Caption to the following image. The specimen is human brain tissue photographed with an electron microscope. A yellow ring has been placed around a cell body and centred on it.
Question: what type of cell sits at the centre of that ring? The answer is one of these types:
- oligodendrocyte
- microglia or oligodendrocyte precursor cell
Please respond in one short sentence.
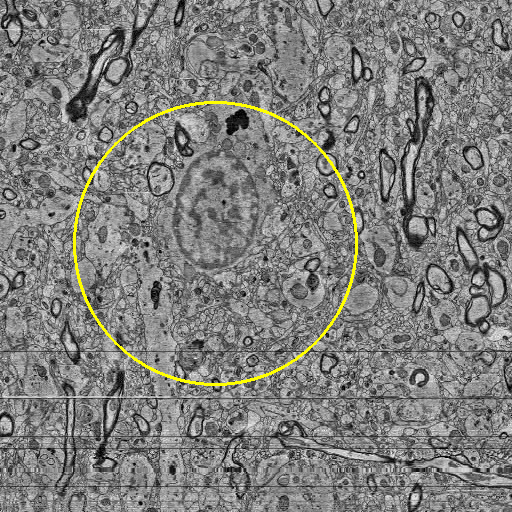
The ring surrounds the cell body of an oligodendrocyte.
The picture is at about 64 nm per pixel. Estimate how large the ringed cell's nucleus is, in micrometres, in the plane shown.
In this plane, about 8 micrometres in length and 5 in width.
